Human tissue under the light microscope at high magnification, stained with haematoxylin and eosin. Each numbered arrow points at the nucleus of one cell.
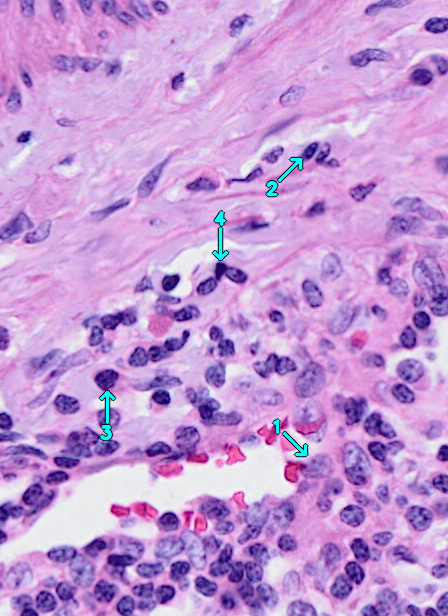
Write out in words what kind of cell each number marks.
Cell 1 is an endothelial cell. Cells 2, 3 and 4 are lymphocytes.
